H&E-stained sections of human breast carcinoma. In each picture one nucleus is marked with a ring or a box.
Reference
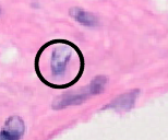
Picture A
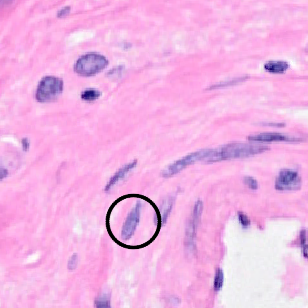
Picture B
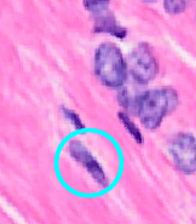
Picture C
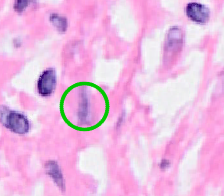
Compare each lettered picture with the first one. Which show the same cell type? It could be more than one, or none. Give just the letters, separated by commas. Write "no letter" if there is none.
A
